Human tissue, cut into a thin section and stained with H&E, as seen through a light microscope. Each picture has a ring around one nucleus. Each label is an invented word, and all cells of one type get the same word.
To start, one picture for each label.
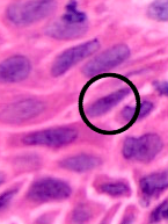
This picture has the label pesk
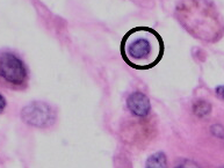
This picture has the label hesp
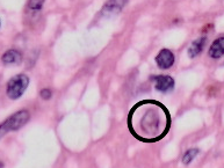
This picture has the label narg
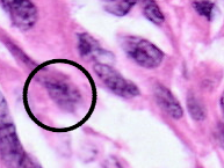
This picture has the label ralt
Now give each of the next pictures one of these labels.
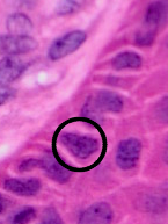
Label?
pesk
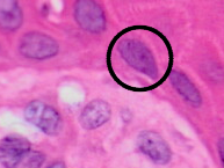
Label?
pesk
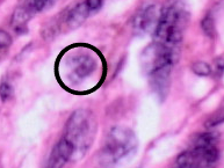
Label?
ralt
